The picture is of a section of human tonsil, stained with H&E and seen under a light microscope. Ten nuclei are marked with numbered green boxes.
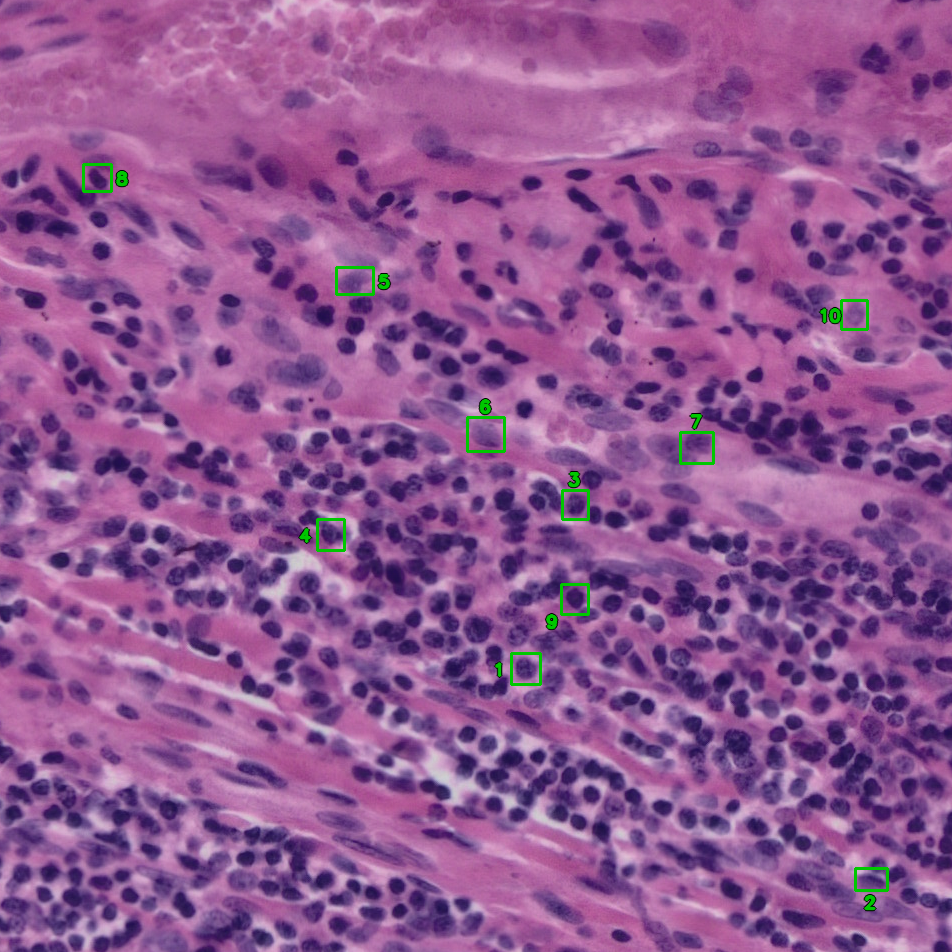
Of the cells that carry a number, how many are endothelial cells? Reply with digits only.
5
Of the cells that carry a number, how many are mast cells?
1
